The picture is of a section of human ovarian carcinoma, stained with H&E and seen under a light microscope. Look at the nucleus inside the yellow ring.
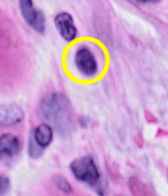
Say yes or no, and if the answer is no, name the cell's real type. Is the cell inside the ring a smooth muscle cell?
No, it is a lymphocyte.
